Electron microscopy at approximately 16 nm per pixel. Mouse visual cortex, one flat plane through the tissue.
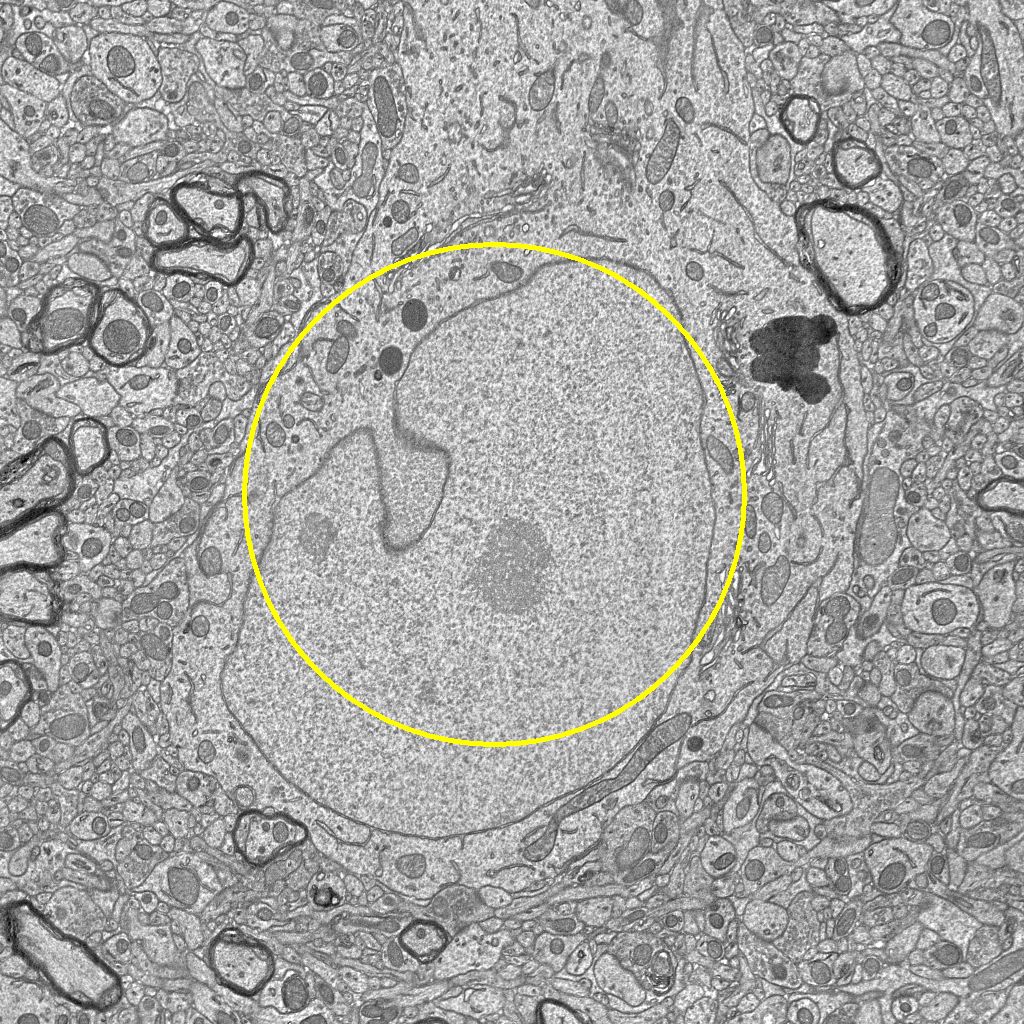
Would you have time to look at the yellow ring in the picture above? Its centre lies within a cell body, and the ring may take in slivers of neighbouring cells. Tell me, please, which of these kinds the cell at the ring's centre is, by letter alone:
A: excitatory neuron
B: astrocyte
A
